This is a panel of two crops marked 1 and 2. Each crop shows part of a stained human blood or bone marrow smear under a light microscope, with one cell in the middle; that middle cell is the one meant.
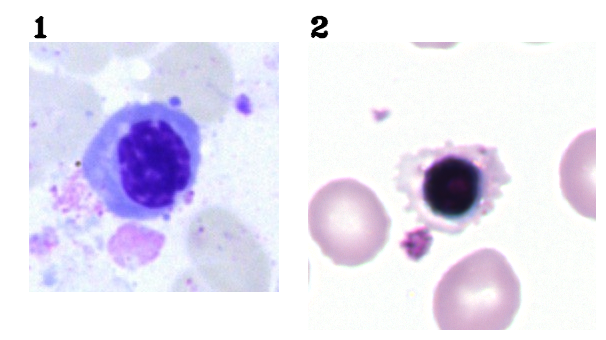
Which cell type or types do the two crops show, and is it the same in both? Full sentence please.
Yes, both crops, not just one, show erythroblasts.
